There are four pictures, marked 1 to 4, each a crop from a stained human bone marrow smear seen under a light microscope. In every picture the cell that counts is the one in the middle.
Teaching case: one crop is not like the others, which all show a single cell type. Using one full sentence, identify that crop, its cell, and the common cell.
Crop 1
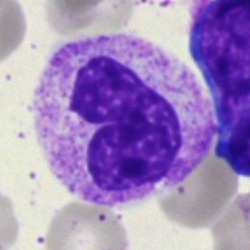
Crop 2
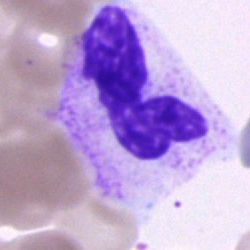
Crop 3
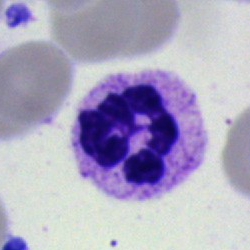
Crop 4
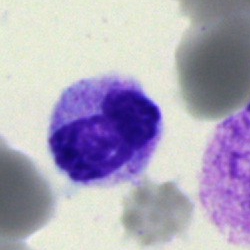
There is a segmented neutrophil in crop 3, while all the other crops show band neutrophils.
